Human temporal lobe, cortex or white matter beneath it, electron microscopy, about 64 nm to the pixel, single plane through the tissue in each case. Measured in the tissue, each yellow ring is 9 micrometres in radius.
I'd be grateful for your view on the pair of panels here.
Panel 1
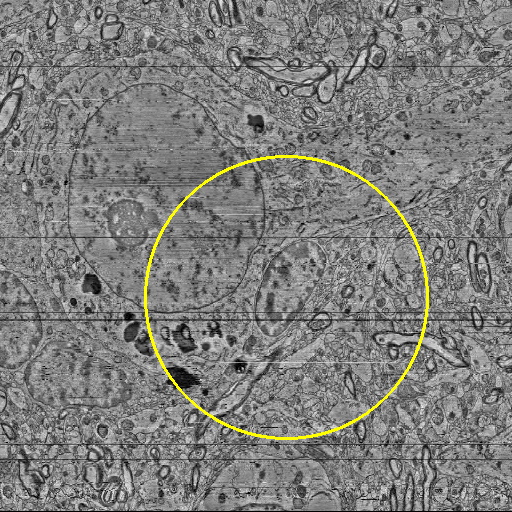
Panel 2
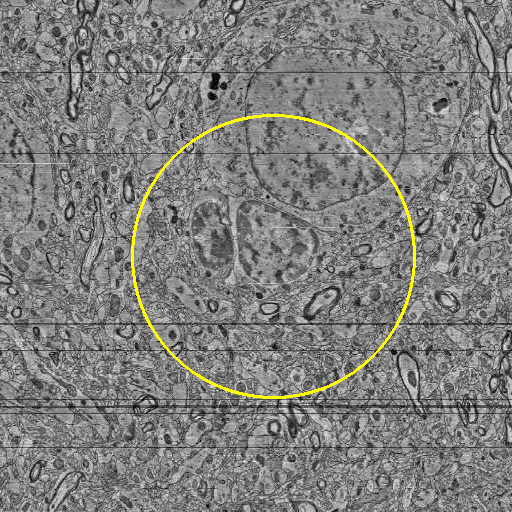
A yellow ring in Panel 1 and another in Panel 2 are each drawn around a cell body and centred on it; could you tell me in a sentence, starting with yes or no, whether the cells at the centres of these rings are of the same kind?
Yes, they are the same kind of cell.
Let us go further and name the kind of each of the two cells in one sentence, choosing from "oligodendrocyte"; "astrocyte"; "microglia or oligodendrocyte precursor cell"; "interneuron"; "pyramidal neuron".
In both pictures the ring is centred on a microglial cell or oligodendrocyte precursor cell.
